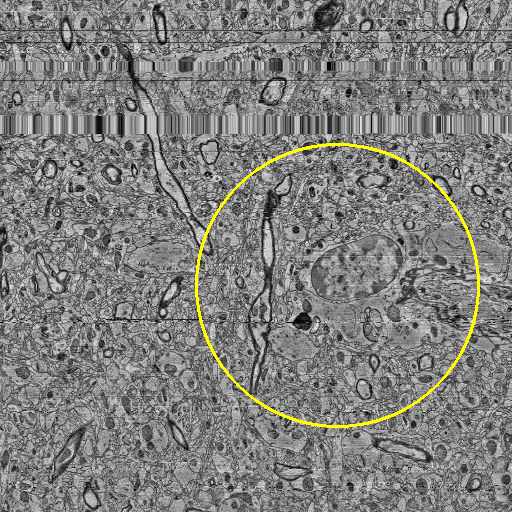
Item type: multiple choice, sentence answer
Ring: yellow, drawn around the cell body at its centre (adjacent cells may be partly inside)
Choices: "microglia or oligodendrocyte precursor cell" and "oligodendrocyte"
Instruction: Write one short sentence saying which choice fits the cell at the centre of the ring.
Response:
This ring is drawn around a microglial cell or oligodendrocyte precursor cell.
